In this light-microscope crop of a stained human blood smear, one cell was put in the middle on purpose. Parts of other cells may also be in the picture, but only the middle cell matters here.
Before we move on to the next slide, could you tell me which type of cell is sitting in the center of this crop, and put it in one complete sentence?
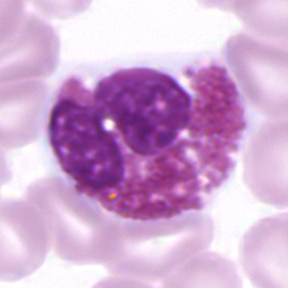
The cell of interest, in the center, is an eosinophil.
